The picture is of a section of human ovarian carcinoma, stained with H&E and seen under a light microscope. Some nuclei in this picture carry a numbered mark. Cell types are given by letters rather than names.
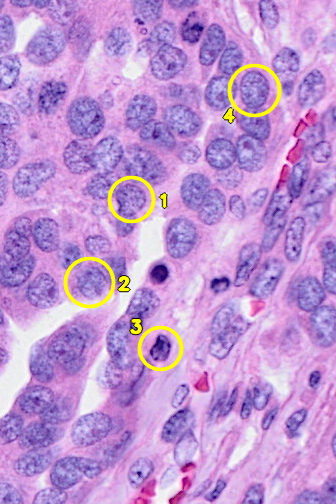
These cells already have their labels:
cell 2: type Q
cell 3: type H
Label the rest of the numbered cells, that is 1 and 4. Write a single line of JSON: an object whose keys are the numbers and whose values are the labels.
{"1": "type Q", "4": "type Q"}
